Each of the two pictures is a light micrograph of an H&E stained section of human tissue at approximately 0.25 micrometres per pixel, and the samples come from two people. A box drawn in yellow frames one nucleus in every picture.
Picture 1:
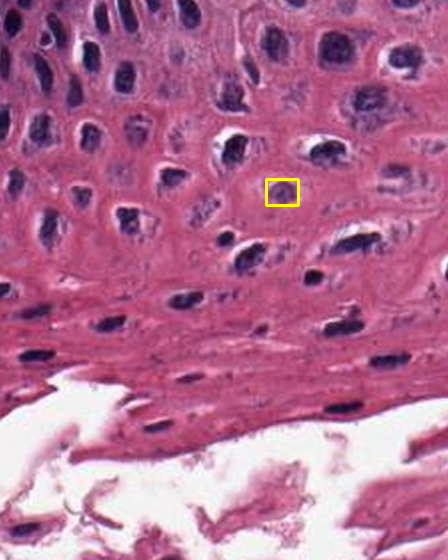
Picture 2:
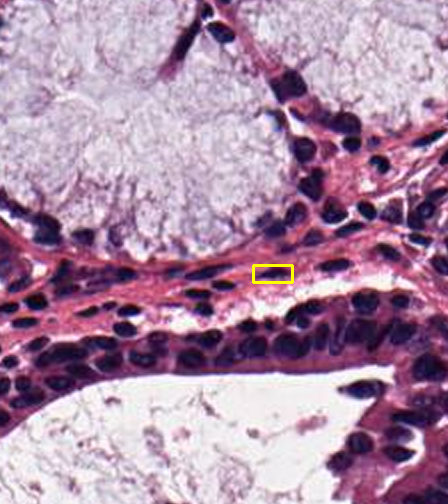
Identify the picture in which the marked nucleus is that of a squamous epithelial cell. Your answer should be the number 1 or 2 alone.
1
